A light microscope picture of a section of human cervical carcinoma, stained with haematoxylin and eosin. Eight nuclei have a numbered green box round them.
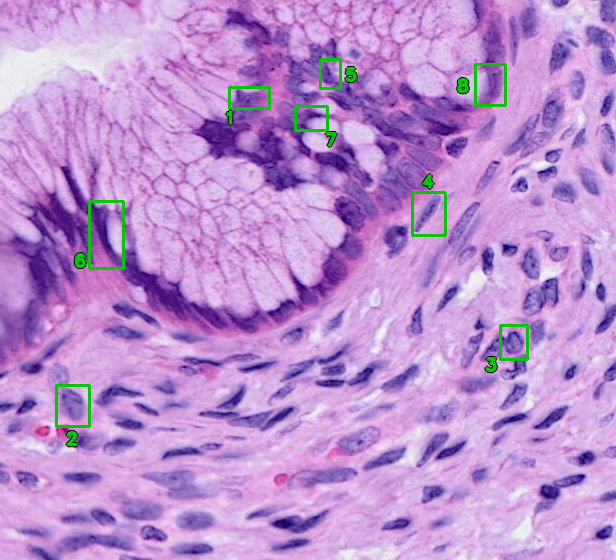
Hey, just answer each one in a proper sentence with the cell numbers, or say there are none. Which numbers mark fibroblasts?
There is only one numbered cell that is a fibroblast, and it is cell 4.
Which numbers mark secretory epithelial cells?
The cells that bear the numbers 1, 5, 6, 7 and 8 are secretory epithelial cells.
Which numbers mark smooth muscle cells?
The numbered cells include no smooth muscle cells at all.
